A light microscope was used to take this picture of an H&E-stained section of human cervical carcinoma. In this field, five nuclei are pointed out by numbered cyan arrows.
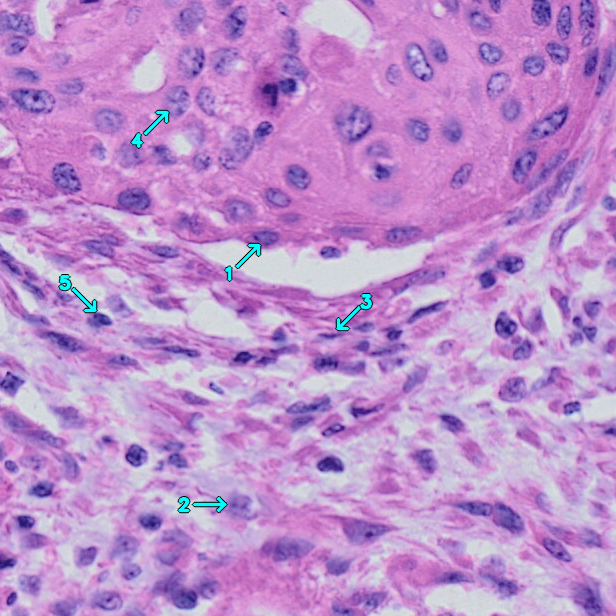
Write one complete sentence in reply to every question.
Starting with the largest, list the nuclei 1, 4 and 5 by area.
Largest first, the order by area is 4, 1, 5.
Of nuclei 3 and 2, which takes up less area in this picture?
With nucleus 2 about 3 times its size, nucleus 3 is the smaller of the two.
